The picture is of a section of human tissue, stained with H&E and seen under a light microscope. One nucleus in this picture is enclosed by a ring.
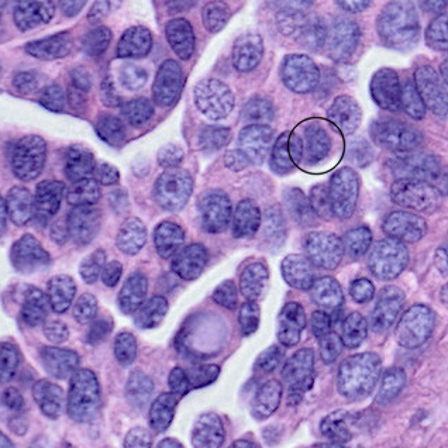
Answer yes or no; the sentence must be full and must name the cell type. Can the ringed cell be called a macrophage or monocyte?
No, the ringed cell is not a macrophage or monocyte; a carcinoma cell is what it is.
